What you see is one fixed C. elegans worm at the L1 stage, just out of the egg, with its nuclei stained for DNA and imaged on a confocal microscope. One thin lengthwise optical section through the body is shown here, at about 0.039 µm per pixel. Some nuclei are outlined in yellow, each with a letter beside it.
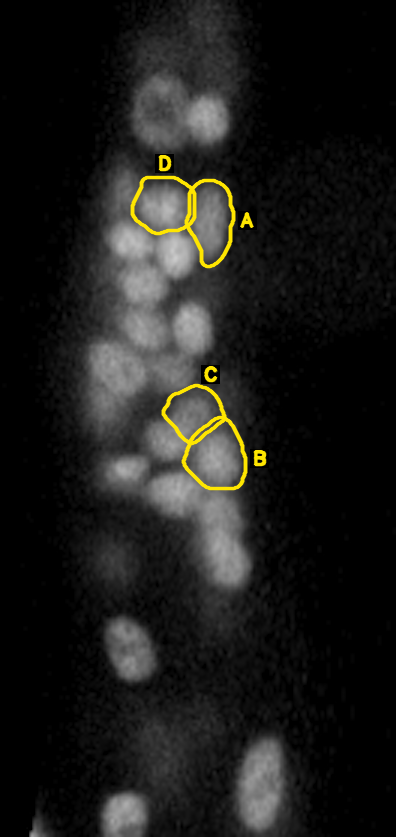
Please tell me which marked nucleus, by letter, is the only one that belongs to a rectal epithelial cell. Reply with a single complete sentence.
C is from a rectal epithelial cell.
